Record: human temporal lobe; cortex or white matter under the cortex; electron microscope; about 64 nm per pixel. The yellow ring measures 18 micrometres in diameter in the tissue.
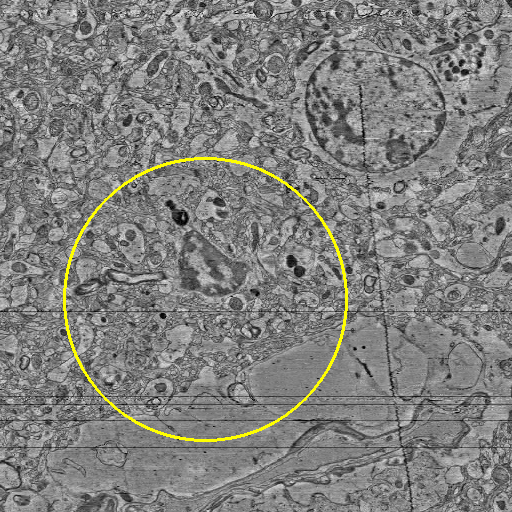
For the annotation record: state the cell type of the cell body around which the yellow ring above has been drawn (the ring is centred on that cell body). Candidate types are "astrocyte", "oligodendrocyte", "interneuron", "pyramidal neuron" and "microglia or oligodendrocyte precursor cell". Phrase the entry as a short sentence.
The ringed cell is a microglial cell or oligodendrocyte precursor cell.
